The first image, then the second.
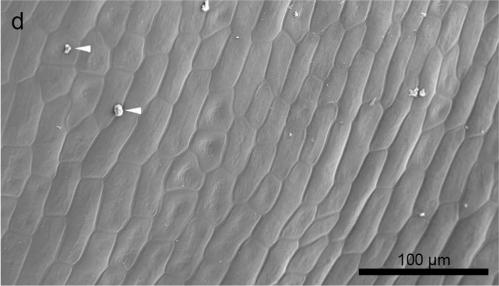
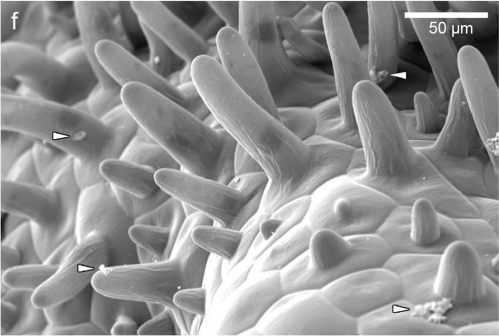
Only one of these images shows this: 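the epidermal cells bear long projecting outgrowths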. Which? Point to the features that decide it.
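The second image. Second image: epidermal cells extend into tall cone- and finger-shaped outgrowths. First image: epidermal cells are flat and smooth with no outgrowths.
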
